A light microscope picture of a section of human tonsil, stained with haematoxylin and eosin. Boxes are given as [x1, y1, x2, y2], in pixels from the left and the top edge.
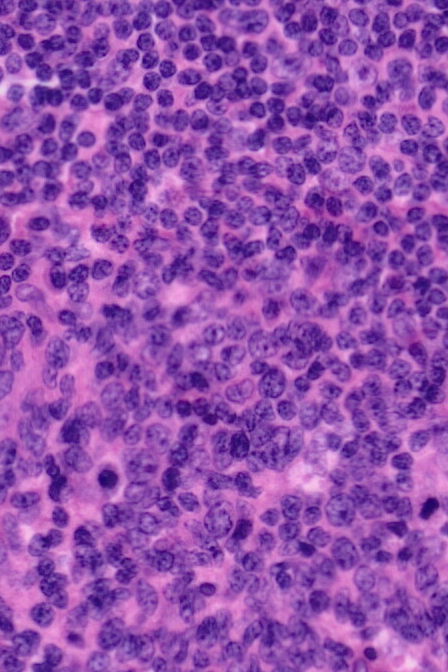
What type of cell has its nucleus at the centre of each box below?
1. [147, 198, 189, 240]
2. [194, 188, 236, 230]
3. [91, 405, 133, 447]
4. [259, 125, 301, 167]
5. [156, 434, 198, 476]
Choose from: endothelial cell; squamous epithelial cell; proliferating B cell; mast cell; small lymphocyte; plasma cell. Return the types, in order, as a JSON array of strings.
["small lymphocyte", "small lymphocyte", "proliferating B cell", "small lymphocyte", "proliferating B cell"]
